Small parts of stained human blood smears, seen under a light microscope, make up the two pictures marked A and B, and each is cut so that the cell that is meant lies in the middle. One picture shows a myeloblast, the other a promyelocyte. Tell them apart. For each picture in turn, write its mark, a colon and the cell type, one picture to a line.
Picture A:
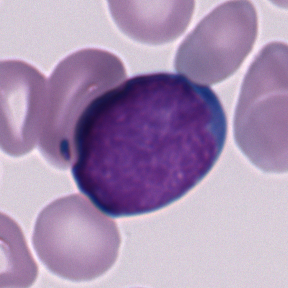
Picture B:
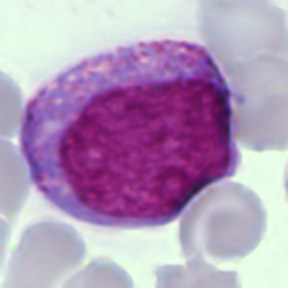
A: myeloblast
B: promyelocyte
